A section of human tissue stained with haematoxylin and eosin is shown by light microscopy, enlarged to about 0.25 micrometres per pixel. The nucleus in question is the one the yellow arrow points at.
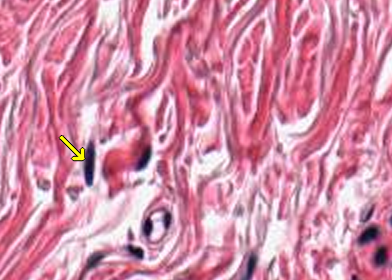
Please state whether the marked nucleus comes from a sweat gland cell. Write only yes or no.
no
